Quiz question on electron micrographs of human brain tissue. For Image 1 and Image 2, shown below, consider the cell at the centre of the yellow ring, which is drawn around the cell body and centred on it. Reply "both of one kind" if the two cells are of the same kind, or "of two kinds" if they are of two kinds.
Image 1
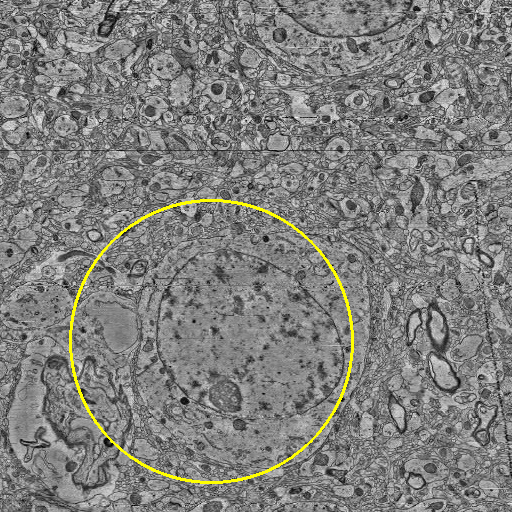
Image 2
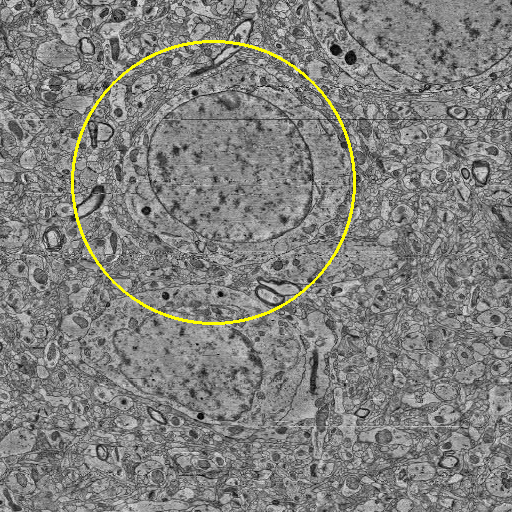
both of one kind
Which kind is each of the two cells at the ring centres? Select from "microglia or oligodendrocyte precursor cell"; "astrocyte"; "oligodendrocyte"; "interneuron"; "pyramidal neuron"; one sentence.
The cell in the first picture is a pyramidal neuron, and so is the one in the second.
